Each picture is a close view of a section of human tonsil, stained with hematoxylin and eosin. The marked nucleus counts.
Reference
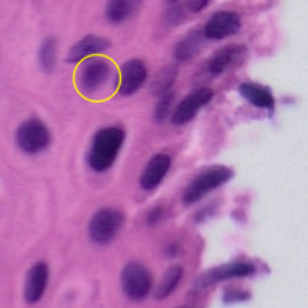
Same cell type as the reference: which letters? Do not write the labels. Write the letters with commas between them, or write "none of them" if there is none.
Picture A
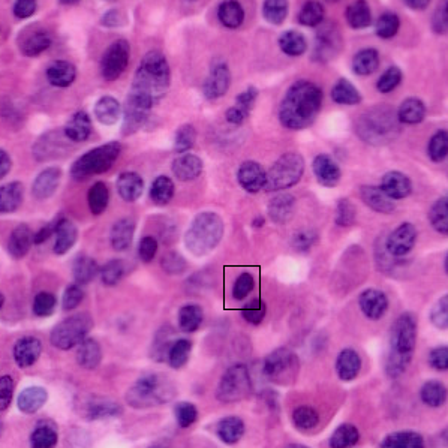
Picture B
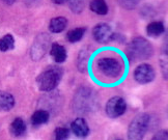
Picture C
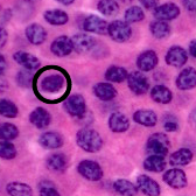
none of them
